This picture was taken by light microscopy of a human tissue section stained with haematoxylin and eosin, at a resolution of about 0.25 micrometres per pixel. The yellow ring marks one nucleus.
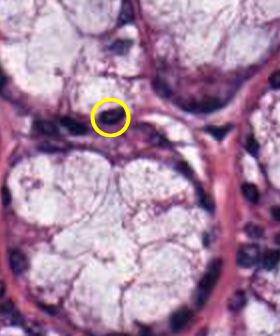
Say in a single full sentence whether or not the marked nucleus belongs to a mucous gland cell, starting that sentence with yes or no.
Yes, it is within a mucous gland cell that the marked nucleus lies.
